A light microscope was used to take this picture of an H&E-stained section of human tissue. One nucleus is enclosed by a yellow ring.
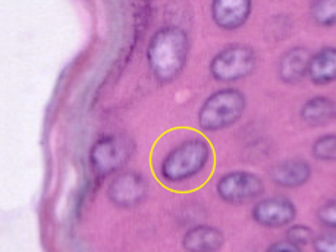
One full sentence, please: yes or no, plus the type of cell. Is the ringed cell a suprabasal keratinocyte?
Yes, and to confirm, the ringed cell is a suprabasal keratinocyte.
